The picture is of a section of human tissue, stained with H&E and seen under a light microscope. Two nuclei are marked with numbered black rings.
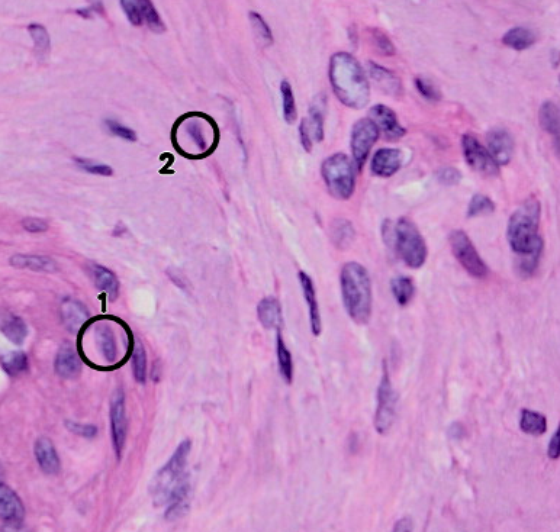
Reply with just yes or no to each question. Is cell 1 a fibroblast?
no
